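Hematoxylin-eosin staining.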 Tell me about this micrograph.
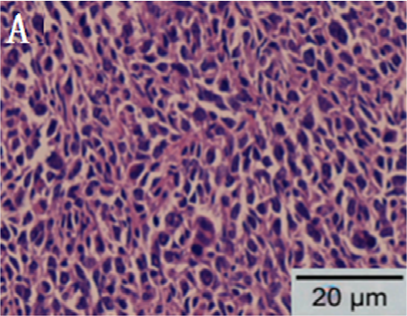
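The nuclei are large and dark purple, varying from oval to elongated and irregular in shape, with only scant pink cytoplasm between them. The cells lie in crowded sheets and interlacing streams with very little intervening stroma.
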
